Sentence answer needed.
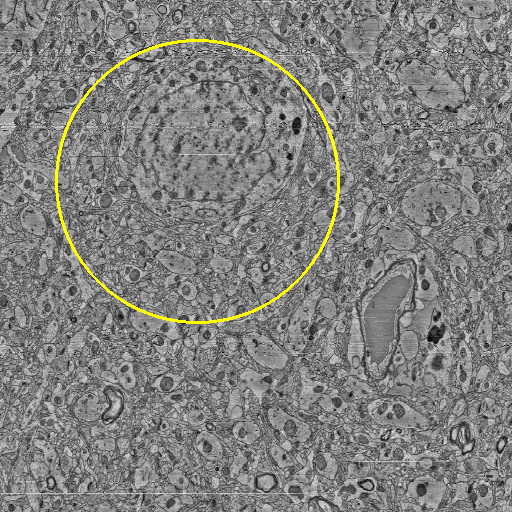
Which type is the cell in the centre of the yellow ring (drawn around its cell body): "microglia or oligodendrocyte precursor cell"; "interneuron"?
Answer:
In the centre of the yellow ring is an interneuron.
